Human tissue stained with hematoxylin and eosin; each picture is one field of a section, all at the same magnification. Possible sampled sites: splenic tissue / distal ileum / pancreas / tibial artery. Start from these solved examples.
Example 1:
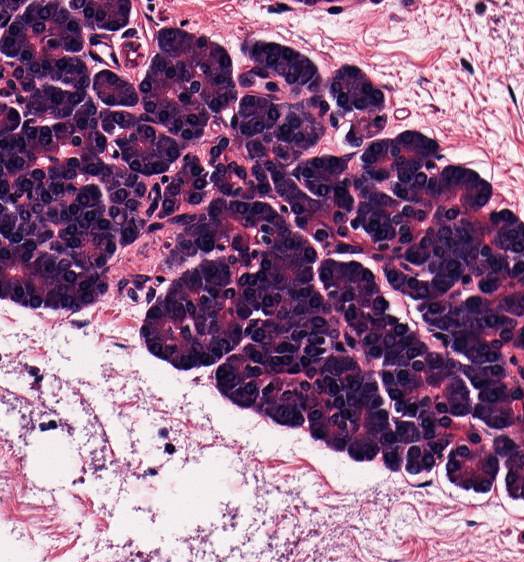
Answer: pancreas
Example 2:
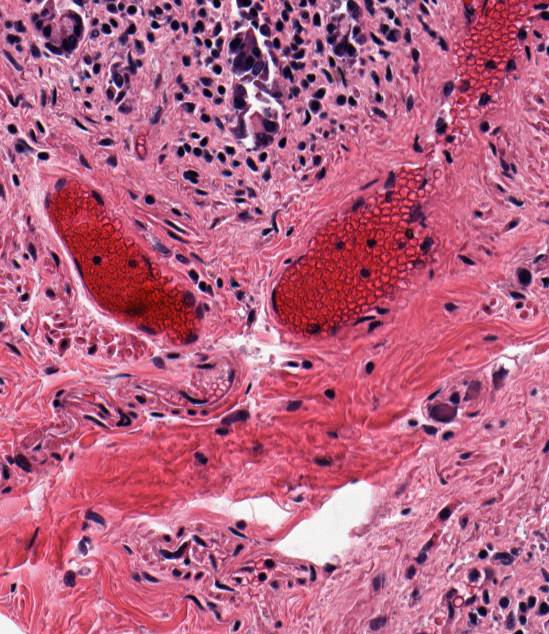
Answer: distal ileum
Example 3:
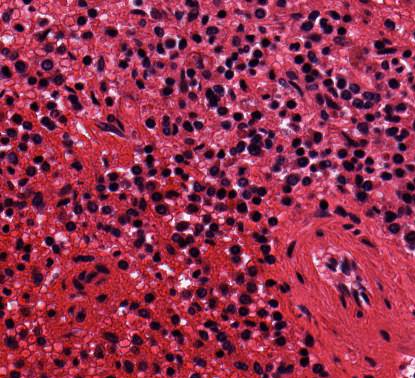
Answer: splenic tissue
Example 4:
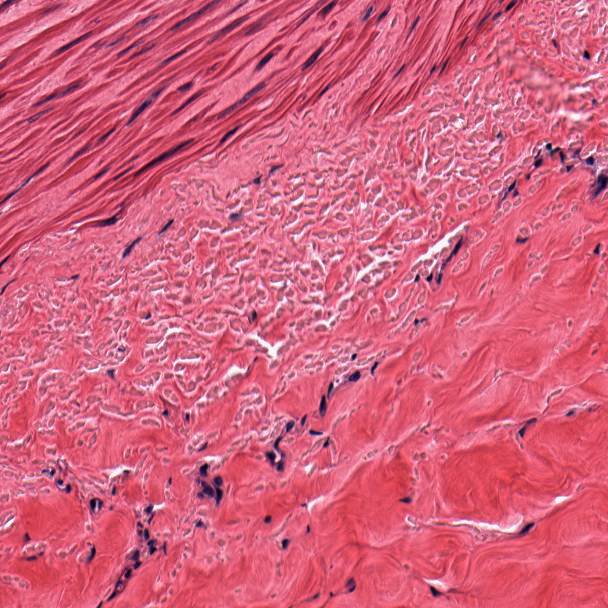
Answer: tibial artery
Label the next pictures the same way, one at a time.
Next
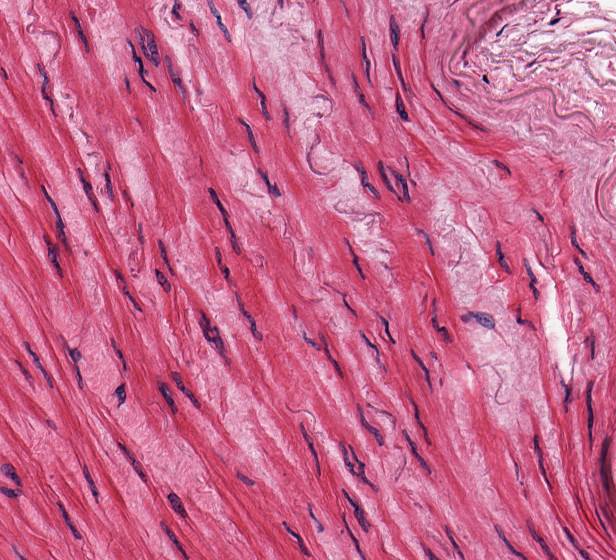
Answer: tibial artery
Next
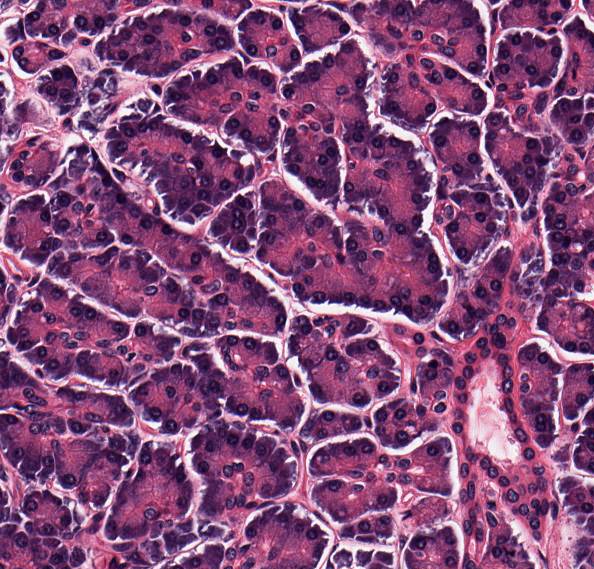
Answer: pancreas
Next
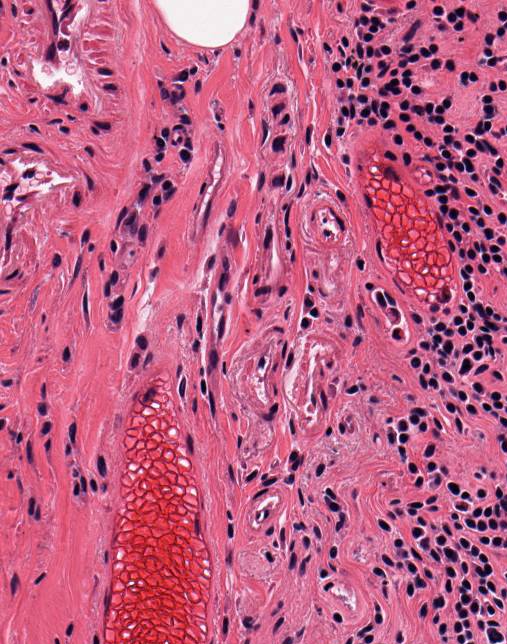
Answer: distal ileum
